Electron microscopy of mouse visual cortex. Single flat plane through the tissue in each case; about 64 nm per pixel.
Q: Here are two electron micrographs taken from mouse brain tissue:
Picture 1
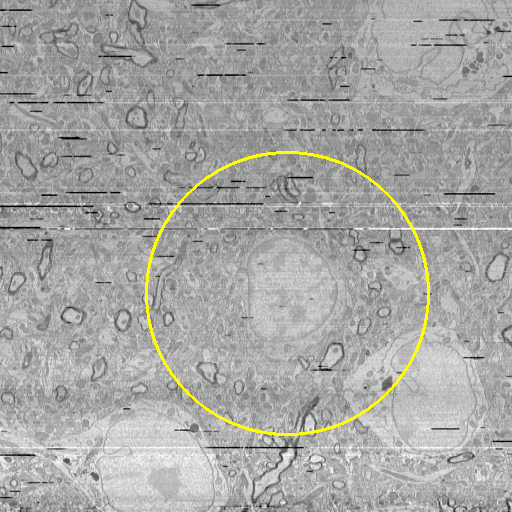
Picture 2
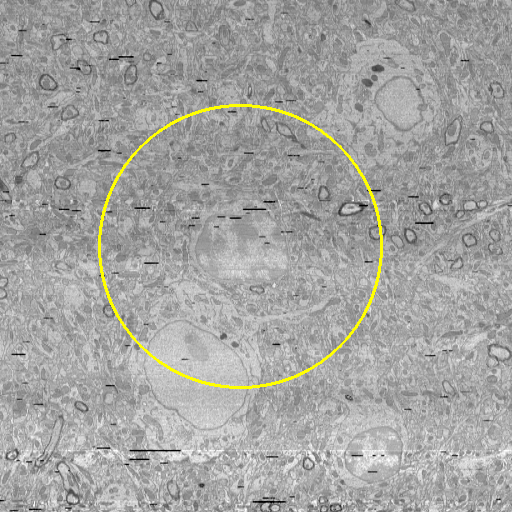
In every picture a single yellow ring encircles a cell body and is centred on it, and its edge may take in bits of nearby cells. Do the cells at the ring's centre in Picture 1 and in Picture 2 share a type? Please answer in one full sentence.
Yes, the cells at the ring's centre in Picture 1 and Picture 2 share a type.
